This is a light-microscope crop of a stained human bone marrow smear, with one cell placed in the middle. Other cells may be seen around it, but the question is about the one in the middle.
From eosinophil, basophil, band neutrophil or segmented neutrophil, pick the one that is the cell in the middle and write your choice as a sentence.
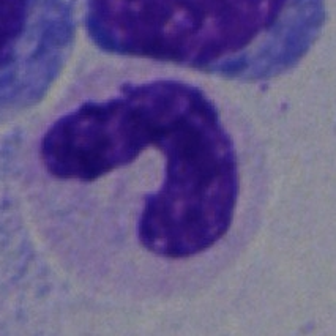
This crop is built around a band neutrophil at its centre.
